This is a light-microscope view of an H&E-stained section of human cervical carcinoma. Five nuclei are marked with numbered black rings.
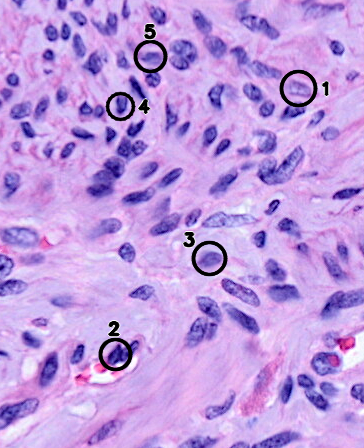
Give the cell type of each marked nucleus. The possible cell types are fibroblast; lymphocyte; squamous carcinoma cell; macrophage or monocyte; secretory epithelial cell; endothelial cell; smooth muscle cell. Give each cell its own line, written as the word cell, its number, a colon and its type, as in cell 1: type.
cell 1: smooth muscle cell
cell 2: endothelial cell
cell 3: fibroblast
cell 4: fibroblast
cell 5: smooth muscle cell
